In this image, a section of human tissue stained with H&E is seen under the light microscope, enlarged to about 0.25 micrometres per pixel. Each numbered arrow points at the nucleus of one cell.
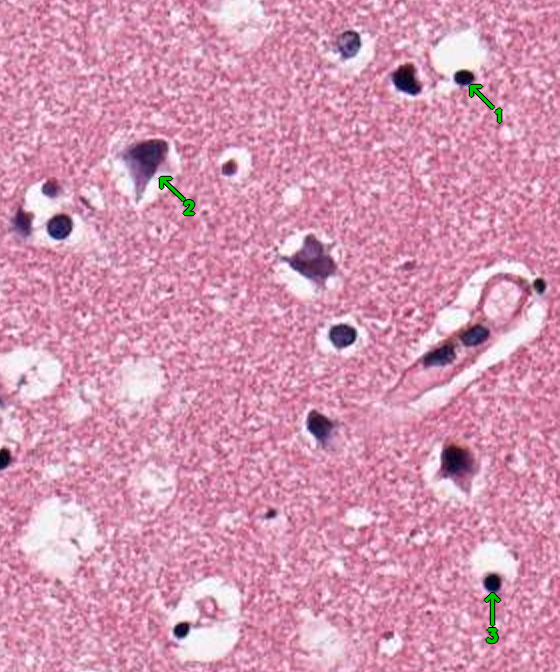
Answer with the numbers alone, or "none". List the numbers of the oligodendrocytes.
1, 3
